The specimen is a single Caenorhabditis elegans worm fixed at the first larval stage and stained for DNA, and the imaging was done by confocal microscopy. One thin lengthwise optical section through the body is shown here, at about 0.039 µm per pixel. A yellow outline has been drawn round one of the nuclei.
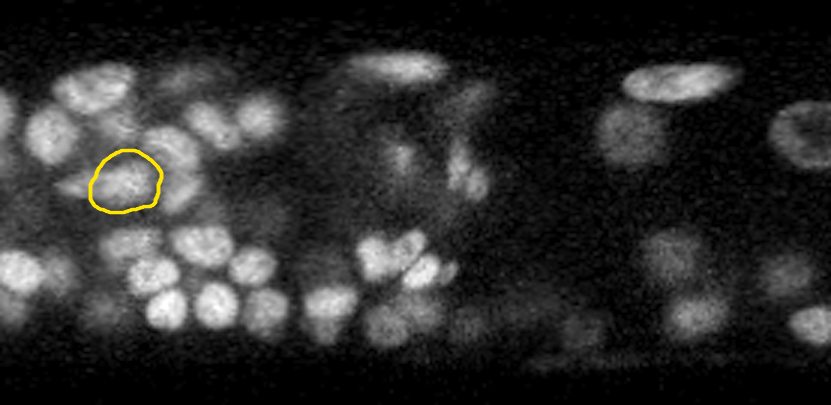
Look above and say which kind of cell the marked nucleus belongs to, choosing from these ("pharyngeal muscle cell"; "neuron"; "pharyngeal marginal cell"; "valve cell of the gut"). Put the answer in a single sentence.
This nucleus is from a pharyngeal marginal cell.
